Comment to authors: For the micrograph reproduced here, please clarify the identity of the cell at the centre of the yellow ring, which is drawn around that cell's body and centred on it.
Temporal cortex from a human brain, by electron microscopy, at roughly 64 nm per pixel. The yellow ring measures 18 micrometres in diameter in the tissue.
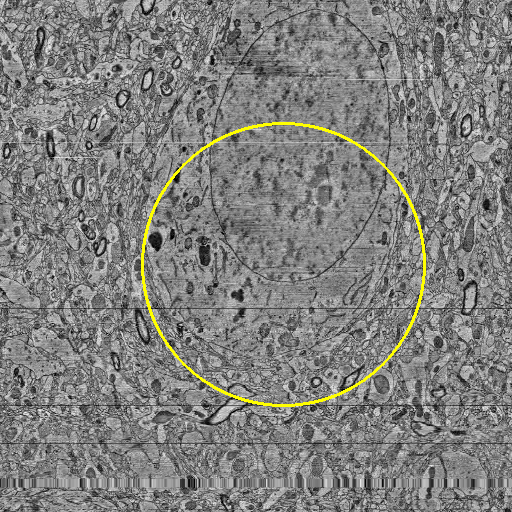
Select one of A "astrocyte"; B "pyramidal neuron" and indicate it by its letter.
B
